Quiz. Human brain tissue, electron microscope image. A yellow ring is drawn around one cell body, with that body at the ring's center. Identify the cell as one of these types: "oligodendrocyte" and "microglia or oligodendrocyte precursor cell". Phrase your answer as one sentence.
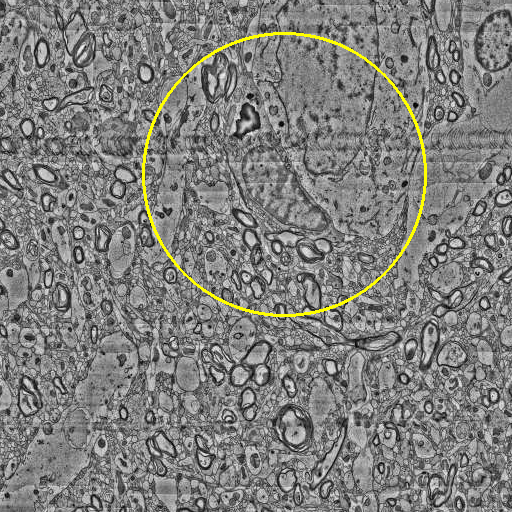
At the center of the ring sits an oligodendrocyte.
